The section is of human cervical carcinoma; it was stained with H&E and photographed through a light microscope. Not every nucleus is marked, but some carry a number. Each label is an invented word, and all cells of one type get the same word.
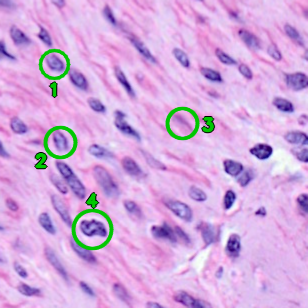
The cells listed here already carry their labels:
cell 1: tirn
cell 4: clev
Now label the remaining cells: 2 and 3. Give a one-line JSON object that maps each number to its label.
{"2": "tirn", "3": "tirn"}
